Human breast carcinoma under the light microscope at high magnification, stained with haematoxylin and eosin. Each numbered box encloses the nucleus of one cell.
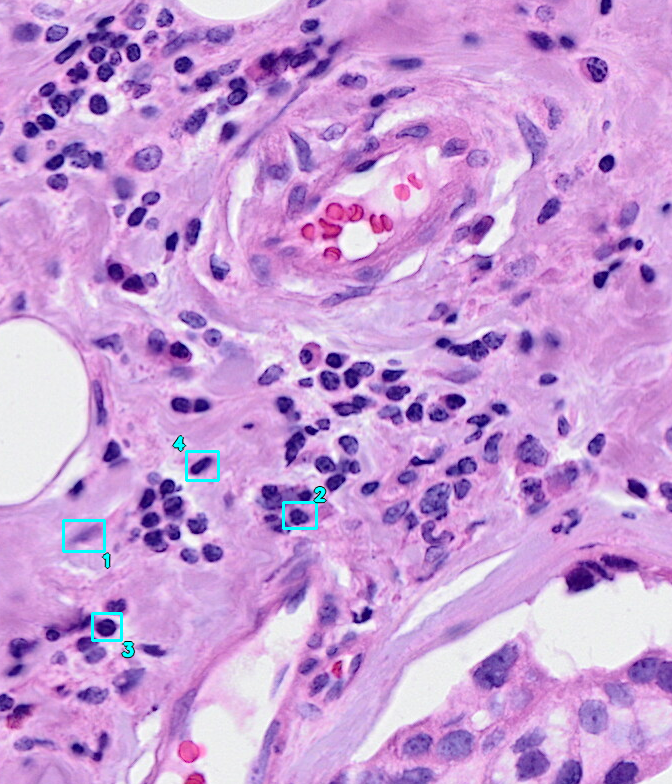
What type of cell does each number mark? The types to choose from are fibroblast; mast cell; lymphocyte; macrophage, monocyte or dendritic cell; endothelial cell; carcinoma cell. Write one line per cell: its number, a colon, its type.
1: fibroblast
2: lymphocyte
3: lymphocyte
4: lymphocyte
